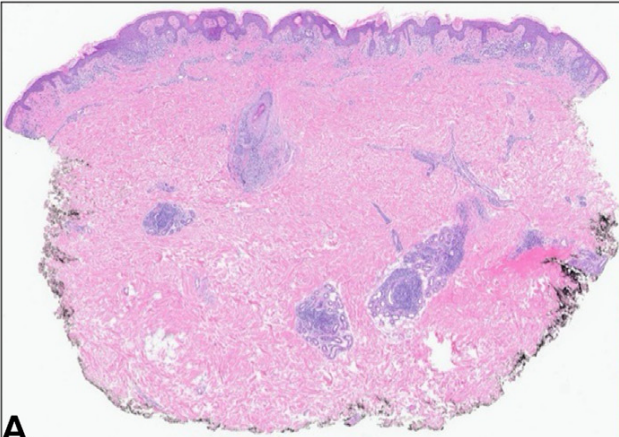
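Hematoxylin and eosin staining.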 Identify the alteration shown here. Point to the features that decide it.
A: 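Dense blue clusters of inflammatory cells lie in both the upper and the deep dermis. The deep clusters surround hair follicles and vessels.
Conclusion: superficial and deep perivascular and periadnexal dermatitis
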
